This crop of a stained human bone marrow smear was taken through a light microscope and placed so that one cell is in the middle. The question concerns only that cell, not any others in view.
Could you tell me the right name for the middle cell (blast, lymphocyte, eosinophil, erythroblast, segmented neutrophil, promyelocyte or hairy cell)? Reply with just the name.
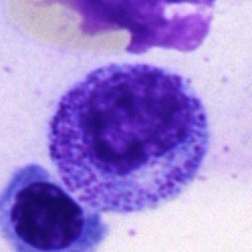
promyelocyte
